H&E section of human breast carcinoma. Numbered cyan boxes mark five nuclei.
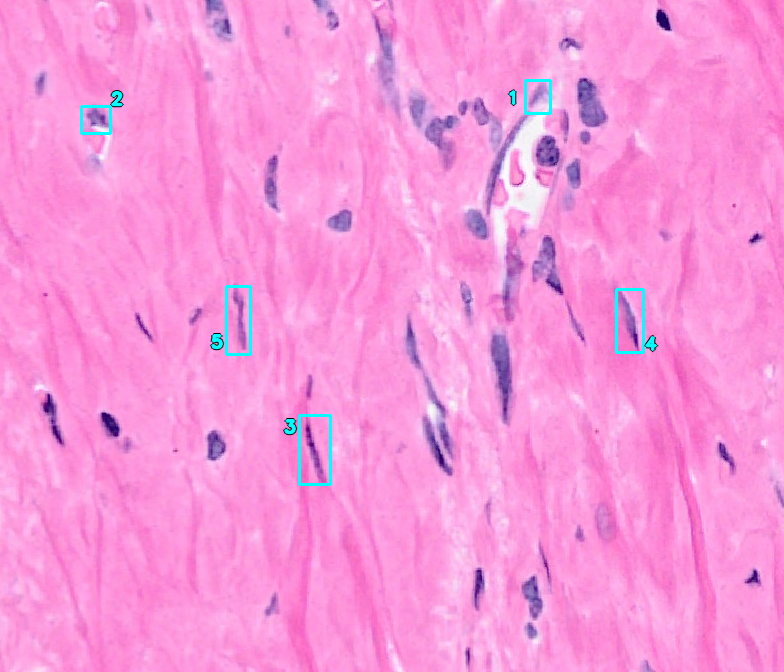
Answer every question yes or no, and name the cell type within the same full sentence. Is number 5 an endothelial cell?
No, the cell given number 5 is a fibroblast, not an endothelial cell.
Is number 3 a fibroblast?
Yes, it is a fibroblast that number 3 identifies.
